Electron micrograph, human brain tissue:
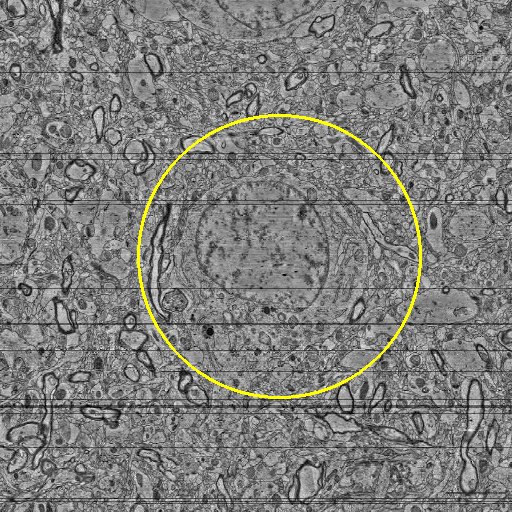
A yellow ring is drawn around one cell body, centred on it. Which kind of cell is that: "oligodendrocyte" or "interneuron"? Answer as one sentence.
It is an interneuron at the centre of the ring.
